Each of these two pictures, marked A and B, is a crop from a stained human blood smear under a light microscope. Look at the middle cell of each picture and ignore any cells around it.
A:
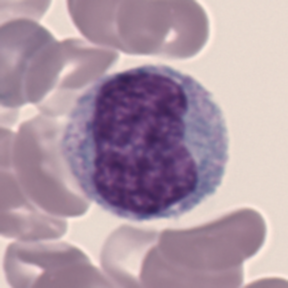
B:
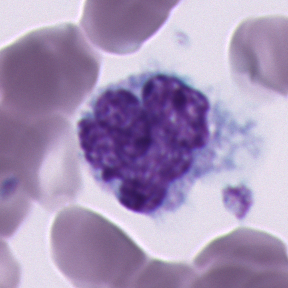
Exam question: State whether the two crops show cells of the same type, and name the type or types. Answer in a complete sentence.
Yes, put down monocytes for both crops.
